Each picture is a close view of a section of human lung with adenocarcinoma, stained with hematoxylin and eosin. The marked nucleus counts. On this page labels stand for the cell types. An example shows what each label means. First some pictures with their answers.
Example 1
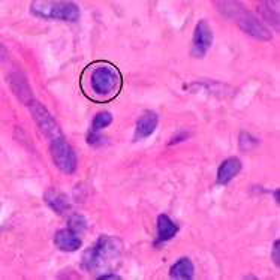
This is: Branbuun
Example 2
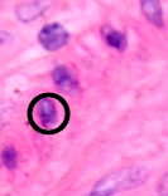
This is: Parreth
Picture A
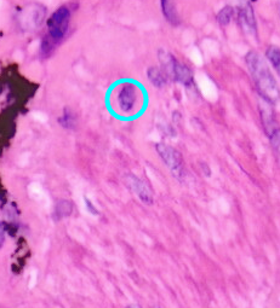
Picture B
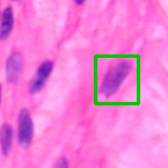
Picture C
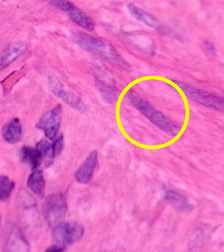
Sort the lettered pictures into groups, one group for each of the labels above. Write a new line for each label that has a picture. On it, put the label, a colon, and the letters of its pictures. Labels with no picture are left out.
Branbuun: A
Parreth: B, C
